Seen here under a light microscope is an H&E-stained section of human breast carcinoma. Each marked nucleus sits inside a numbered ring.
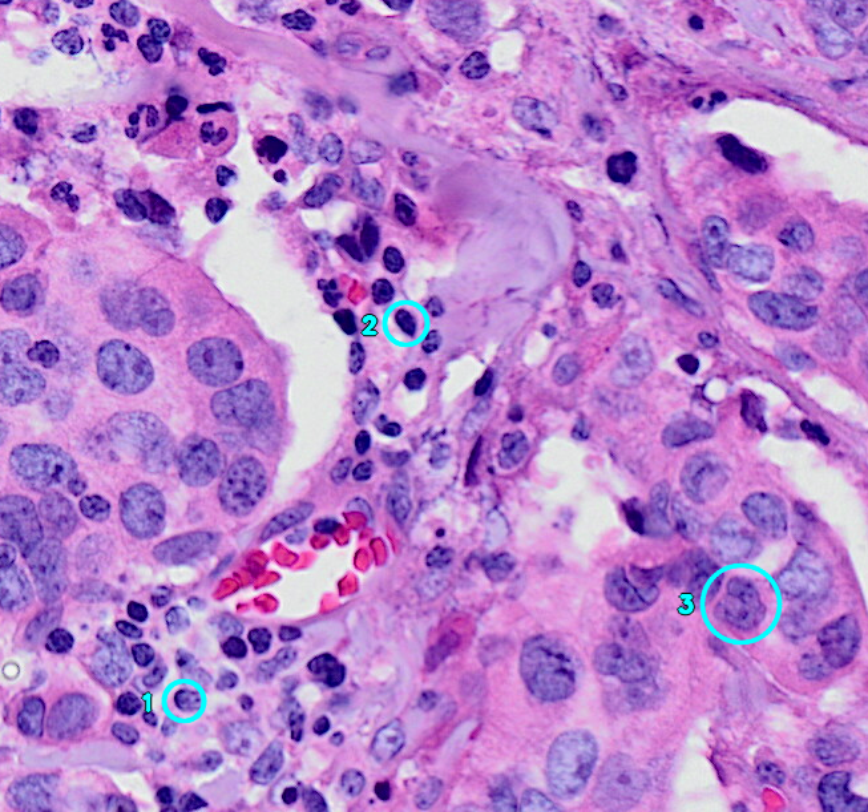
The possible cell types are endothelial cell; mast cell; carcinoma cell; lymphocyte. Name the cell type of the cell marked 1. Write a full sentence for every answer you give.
Cell number 1 in this section is a lymphocyte.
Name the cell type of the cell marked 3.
The cell marked with number 3 is a carcinoma cell.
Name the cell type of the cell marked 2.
Identified as a lymphocyte is the cell bearing the number 2.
